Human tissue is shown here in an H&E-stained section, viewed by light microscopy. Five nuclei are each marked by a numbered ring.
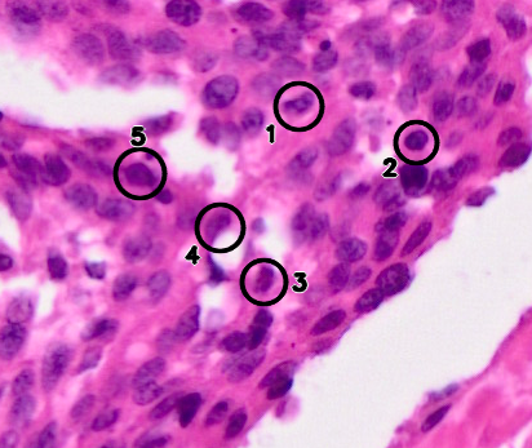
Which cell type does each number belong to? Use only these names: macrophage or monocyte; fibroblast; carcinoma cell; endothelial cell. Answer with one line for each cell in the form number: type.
1: macrophage or monocyte
2: macrophage or monocyte
3: carcinoma cell
4: carcinoma cell
5: carcinoma cell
